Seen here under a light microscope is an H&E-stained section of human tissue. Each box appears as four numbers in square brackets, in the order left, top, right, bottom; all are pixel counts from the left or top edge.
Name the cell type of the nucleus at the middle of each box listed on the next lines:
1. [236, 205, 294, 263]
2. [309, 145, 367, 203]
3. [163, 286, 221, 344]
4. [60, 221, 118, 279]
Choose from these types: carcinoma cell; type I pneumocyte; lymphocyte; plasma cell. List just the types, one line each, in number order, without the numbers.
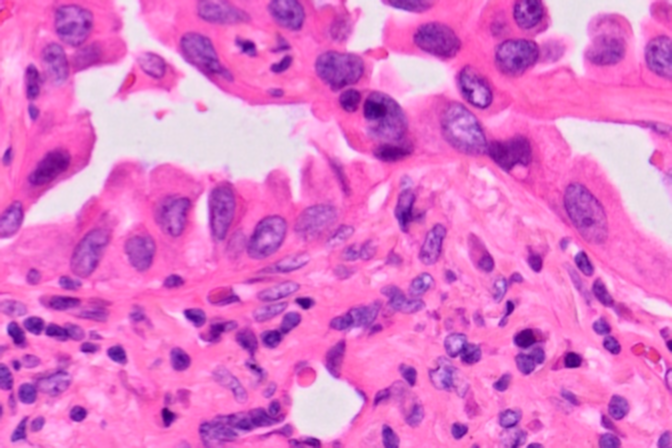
carcinoma cell
carcinoma cell
lymphocyte
carcinoma cell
